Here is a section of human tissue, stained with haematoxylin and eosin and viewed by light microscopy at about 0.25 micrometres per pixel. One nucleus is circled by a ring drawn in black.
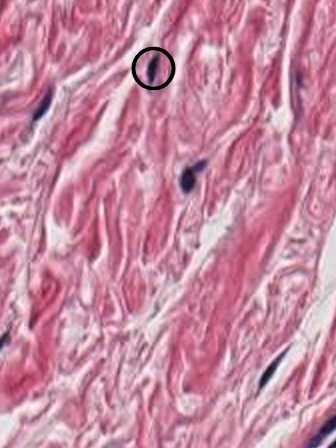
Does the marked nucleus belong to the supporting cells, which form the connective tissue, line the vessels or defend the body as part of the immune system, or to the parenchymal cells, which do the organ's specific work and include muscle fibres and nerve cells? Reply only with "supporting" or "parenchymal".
supporting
